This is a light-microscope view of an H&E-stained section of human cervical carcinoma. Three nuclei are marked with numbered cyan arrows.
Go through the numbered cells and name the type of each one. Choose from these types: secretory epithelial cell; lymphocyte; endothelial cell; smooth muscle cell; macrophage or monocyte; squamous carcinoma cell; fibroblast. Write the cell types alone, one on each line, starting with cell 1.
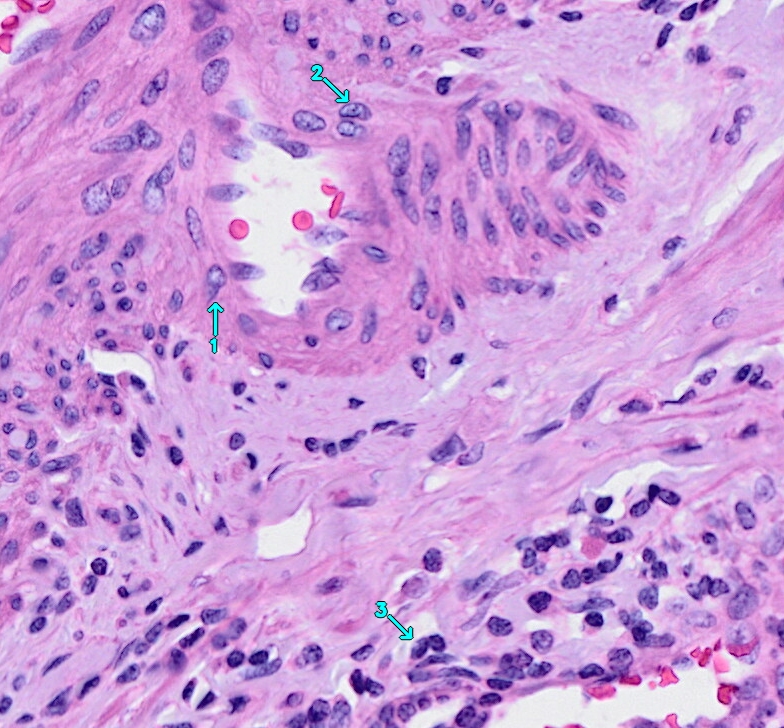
smooth muscle cell
smooth muscle cell
lymphocyte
